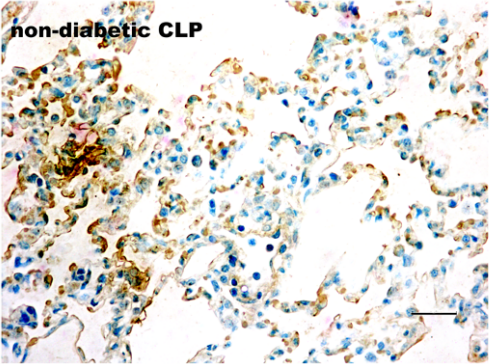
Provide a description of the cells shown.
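The field shows lung parenchyma, with thin alveolar septa bordering open, empty air spaces. Many cells along the septa carry brown staining in their cytoplasm, and their nuclei are blue, round to oval. Towards the left edge the septa are thicker and more crowded with cells, and there a dense, dark brown patch of staining gathers among them. Over the rest of the field the brown staining is lighter and follows the septal walls, so that the air spaces stay clear.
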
